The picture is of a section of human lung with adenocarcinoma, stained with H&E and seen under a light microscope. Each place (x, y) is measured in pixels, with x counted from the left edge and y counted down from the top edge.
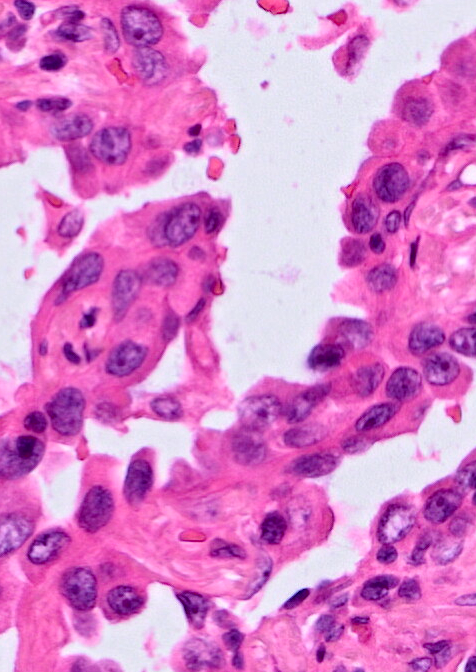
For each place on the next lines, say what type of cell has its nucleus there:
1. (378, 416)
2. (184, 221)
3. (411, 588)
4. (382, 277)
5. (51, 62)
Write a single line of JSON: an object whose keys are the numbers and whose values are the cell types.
{"1": "carcinoma cell", "2": "carcinoma cell", "3": "plasma cell", "4": "carcinoma cell", "5": "lymphocyte"}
